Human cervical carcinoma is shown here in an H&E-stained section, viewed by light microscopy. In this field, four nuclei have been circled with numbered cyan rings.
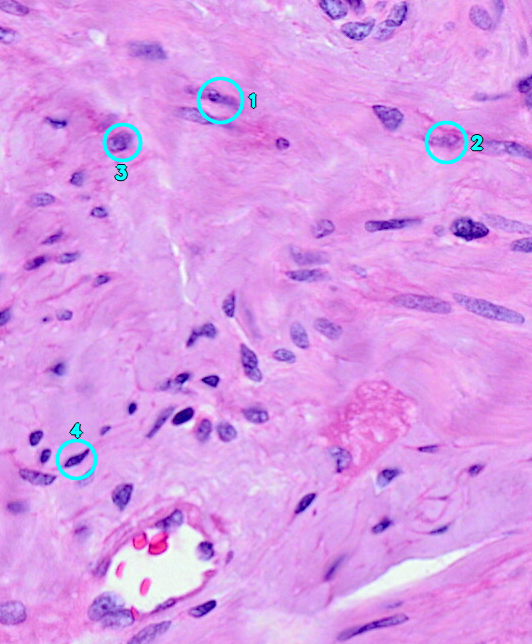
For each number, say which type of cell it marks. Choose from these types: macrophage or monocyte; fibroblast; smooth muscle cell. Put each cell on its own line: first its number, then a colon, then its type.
1: smooth muscle cell
2: smooth muscle cell
3: smooth muscle cell
4: fibroblast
